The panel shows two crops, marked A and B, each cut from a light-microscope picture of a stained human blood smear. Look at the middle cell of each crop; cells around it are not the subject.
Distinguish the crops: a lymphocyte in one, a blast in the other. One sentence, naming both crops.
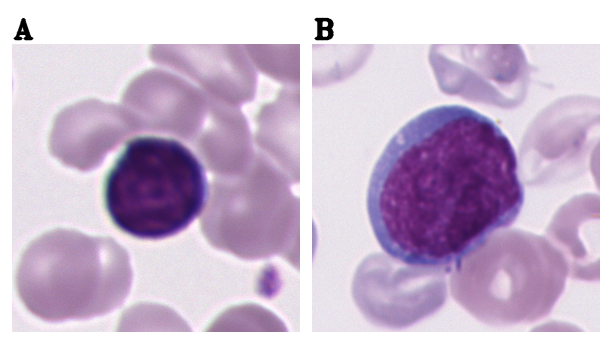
Crop A should be reported as a lymphocyte, and crop B as a blast.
